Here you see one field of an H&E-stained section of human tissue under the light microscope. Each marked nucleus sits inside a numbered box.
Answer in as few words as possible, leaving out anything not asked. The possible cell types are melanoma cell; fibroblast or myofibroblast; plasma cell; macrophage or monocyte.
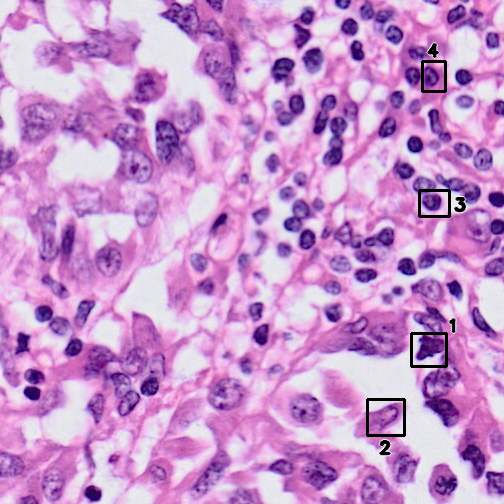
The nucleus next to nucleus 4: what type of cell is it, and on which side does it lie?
a plasma cell to the left of nucleus 4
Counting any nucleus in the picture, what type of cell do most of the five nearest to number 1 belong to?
melanoma cell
